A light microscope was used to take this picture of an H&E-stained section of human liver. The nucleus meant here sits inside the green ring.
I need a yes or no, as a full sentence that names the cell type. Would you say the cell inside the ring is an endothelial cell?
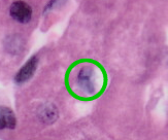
Yes, identifying the cell inside the ring as an endothelial cell is right.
